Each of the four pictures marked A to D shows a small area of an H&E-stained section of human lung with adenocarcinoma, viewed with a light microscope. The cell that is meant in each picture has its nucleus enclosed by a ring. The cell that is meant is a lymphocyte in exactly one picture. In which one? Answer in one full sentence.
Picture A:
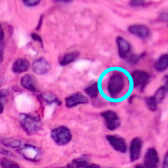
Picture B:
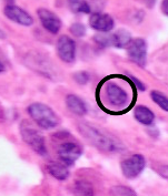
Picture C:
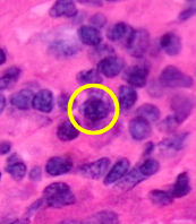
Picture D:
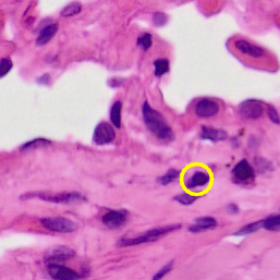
Picture C is the one that shows the lymphocyte.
